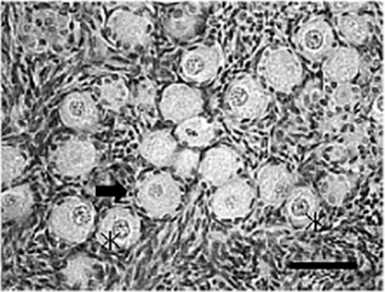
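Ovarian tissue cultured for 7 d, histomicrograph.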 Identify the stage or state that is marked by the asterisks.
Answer: Primordial follicles.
